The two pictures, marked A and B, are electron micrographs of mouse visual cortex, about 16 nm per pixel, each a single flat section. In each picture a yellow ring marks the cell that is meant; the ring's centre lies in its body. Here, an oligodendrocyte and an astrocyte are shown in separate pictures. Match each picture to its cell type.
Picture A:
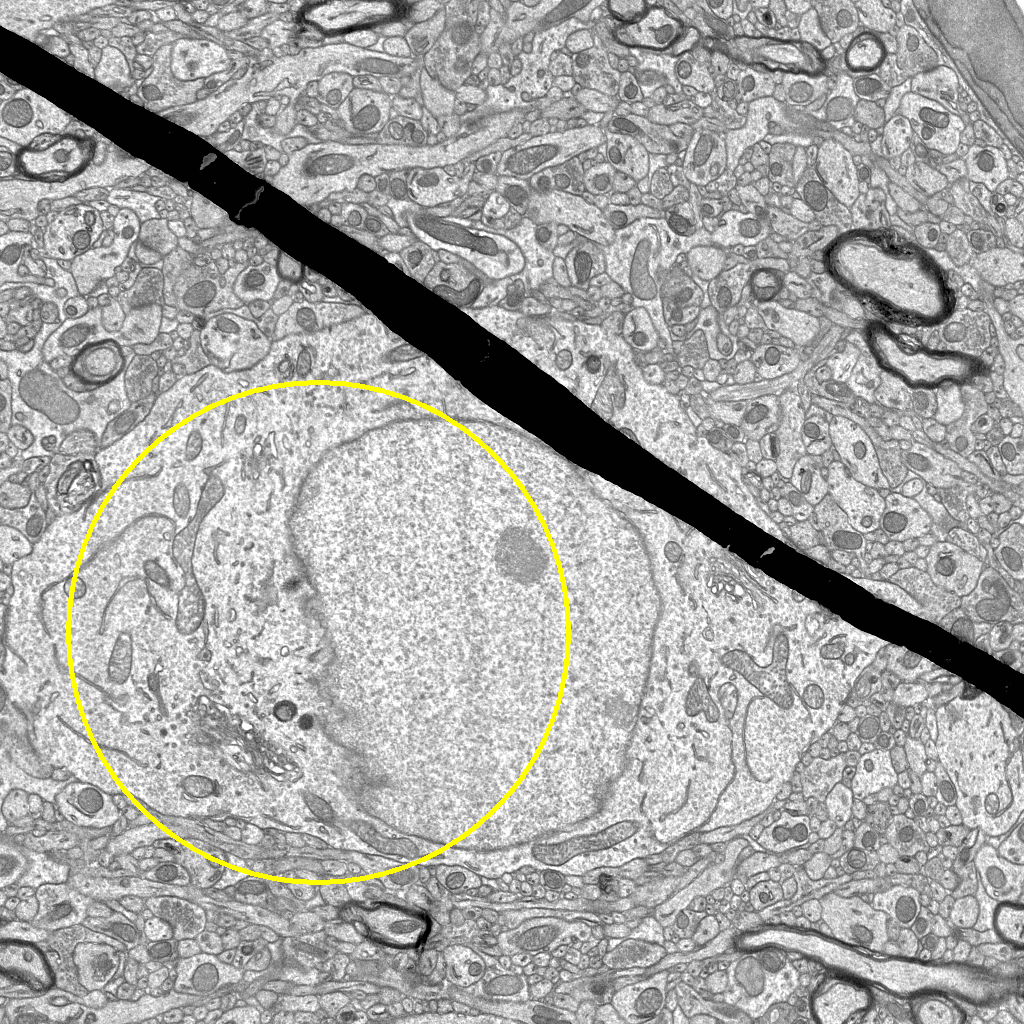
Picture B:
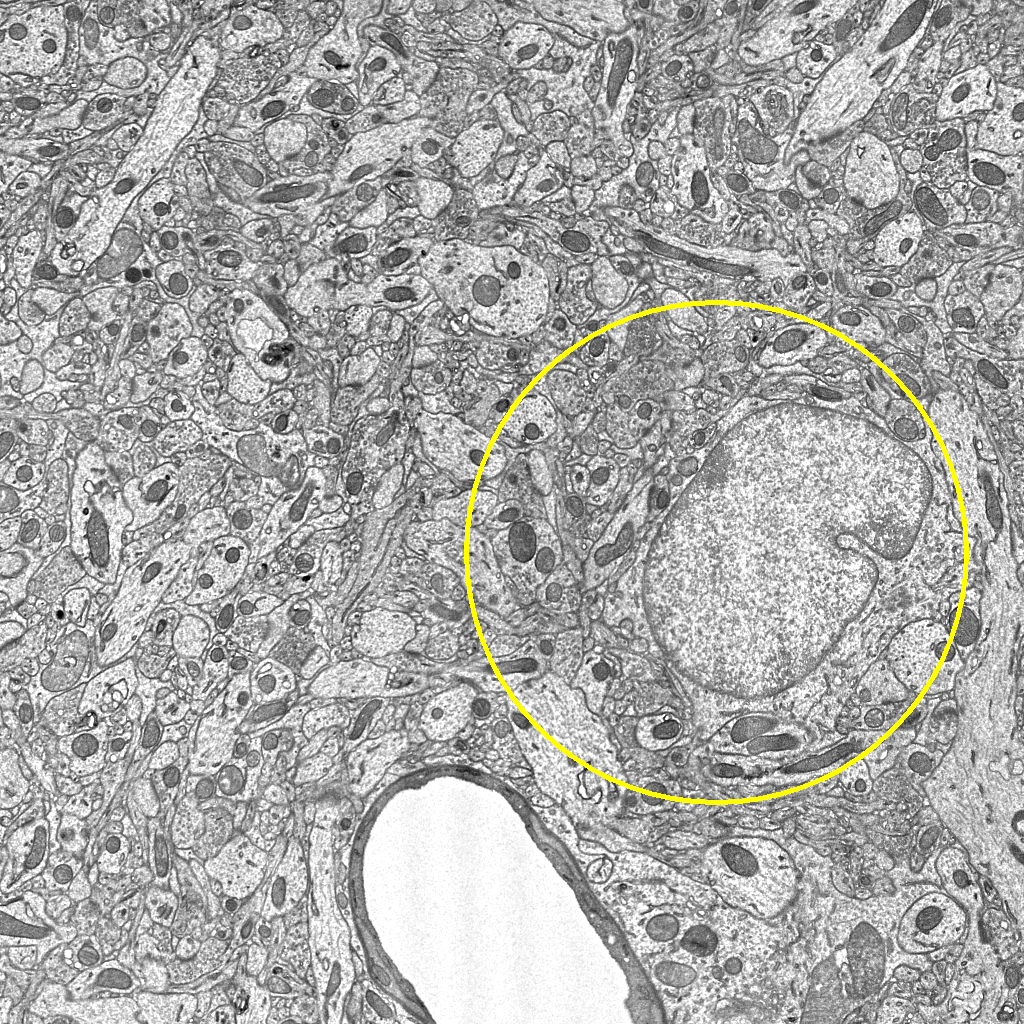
It is picture A that shows an oligodendrocyte, and picture B that shows an astrocyte.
